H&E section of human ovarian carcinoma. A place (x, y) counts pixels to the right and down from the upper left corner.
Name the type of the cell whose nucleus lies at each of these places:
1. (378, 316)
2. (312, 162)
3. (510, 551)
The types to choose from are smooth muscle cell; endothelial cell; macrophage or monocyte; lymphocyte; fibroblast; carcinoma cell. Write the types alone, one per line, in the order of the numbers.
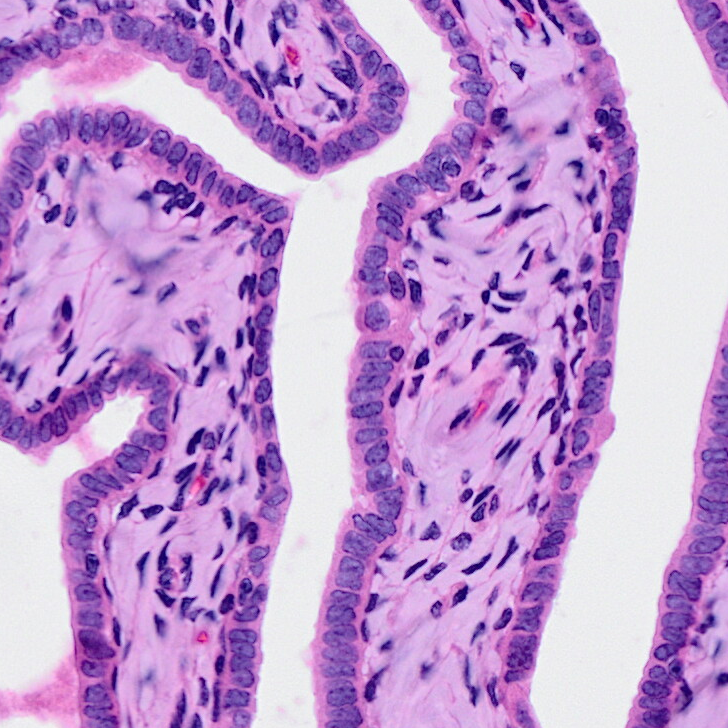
carcinoma cell
carcinoma cell
fibroblast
